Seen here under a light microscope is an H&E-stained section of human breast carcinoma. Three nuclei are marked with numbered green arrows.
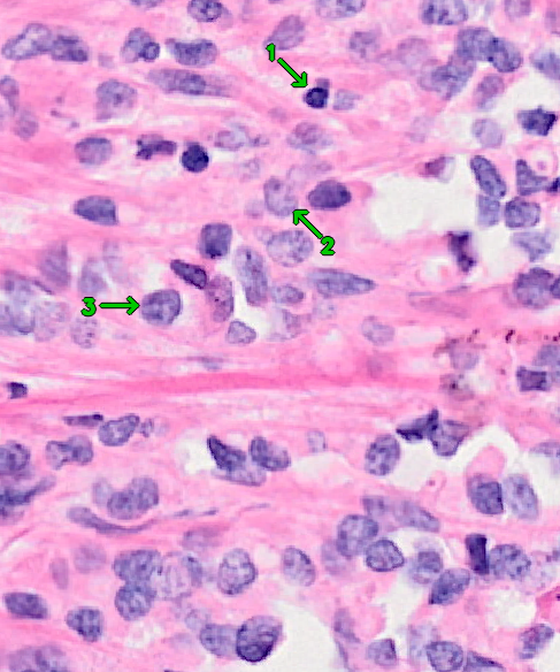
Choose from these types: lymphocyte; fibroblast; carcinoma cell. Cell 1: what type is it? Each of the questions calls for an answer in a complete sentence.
The cell identified by number 1 is a lymphocyte.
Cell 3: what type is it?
What the number 3 marks in this field is a carcinoma cell.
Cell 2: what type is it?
The cell that goes by number 2 is a carcinoma cell.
